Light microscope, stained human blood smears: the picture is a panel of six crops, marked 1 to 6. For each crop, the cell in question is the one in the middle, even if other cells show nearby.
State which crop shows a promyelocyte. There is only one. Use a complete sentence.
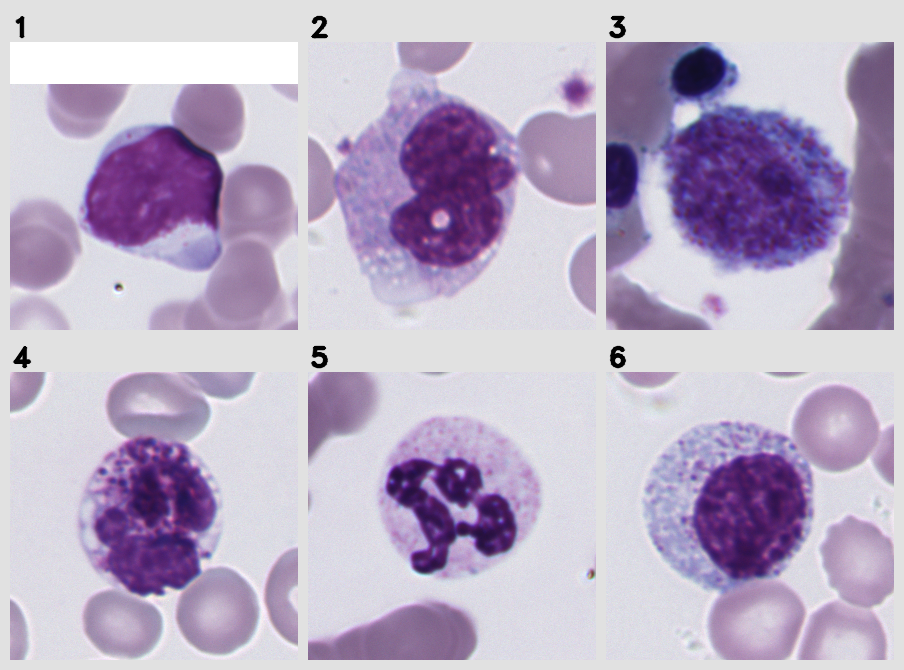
Crop 3 is the crop that displays a promyelocyte.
